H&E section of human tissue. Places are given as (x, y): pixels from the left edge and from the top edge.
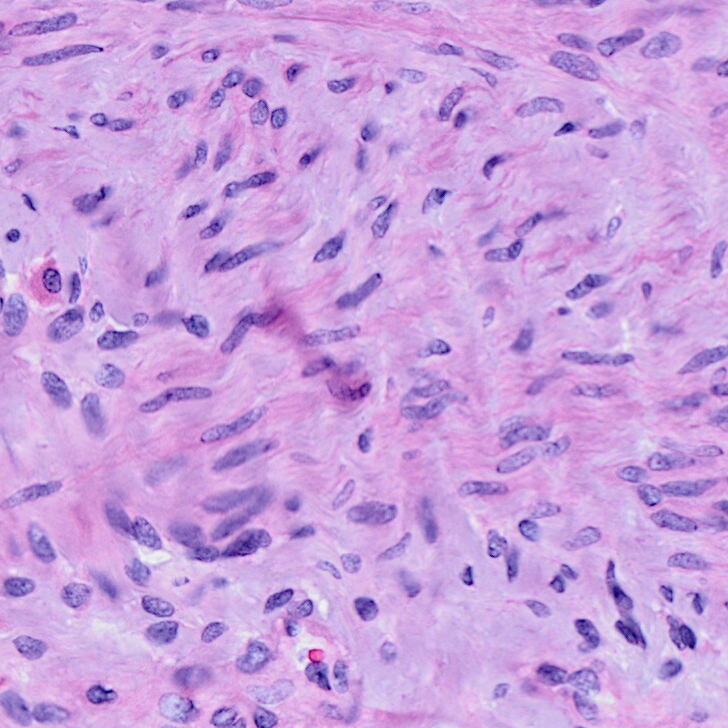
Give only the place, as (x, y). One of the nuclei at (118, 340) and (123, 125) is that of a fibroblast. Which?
(118, 340)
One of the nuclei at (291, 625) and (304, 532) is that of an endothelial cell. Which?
(291, 625)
